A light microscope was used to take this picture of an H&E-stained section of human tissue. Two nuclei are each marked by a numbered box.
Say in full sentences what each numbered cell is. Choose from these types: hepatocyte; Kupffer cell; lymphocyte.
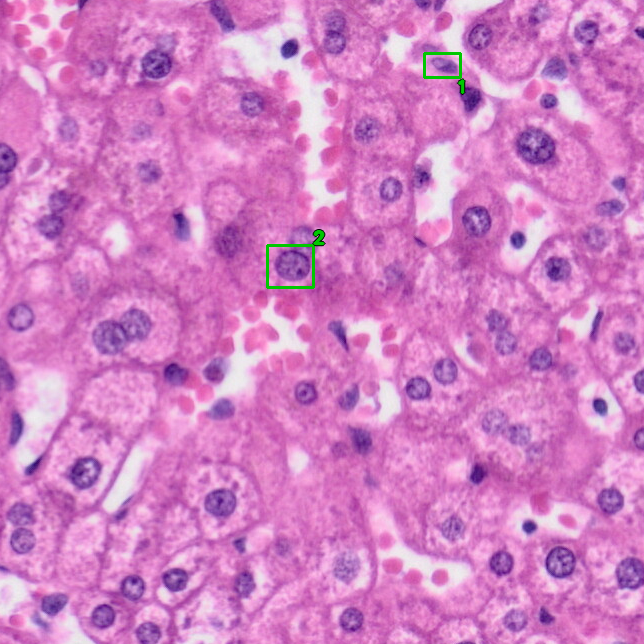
Cell 1 is a Kupffer cell and cell 2 is a hepatocyte.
